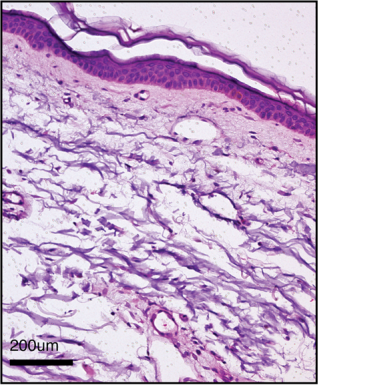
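This is skin, with a thin stratified epidermis running along the top, its deeper layers of cells dark purple and topped by a wavy, flaking pink keratin layer. Nuclei in the dermis are few and scattered, and there are no dense collections of small inflammatory cells around the vessels or under the epidermis. The picture is of skin without an inflammatory infiltrate in the dermis.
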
